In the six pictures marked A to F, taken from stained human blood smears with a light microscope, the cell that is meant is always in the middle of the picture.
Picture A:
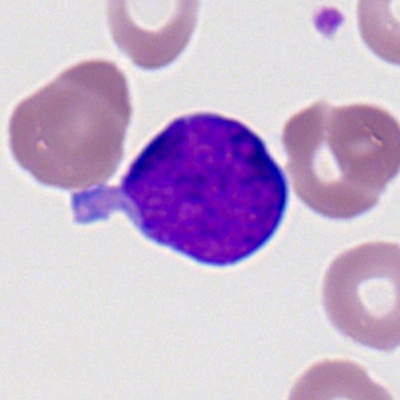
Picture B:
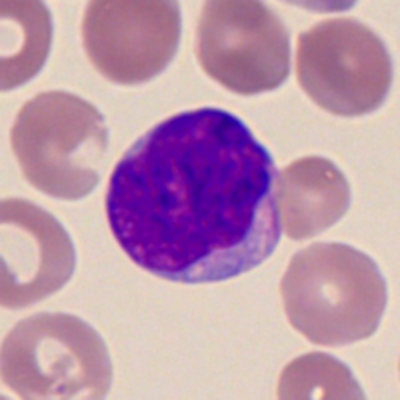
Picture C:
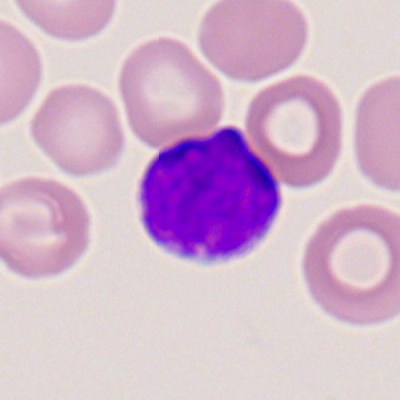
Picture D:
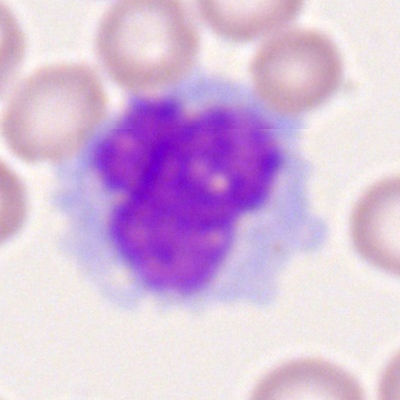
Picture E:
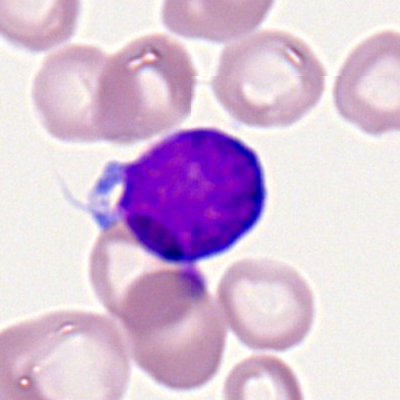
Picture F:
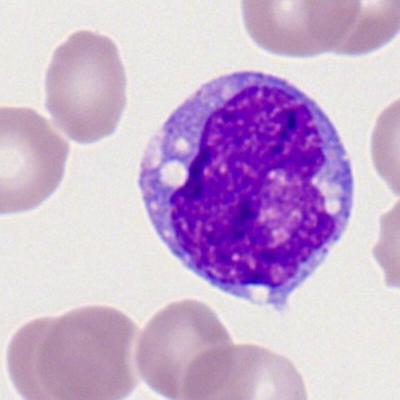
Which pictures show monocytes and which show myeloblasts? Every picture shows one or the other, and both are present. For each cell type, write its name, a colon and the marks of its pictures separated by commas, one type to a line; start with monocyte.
monocyte: D, F
myeloblast: A, B, C, E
